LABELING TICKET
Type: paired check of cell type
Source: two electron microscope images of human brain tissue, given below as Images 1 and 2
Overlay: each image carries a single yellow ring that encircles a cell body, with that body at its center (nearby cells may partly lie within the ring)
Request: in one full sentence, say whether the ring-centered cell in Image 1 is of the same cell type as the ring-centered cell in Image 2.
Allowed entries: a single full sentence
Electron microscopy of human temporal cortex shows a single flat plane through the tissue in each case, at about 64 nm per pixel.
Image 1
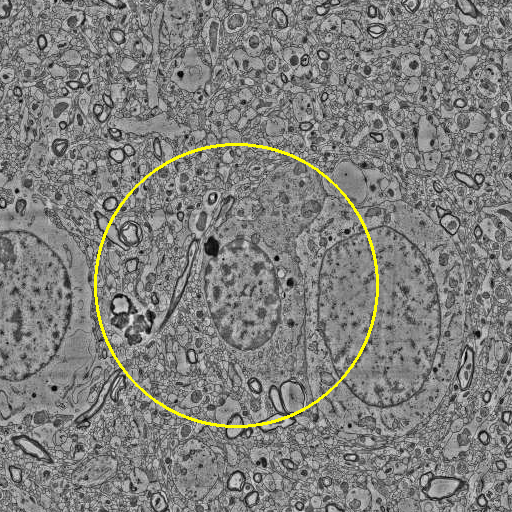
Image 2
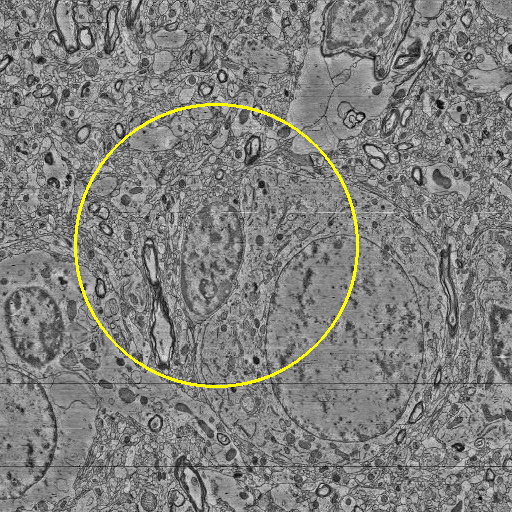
Yes, the cells centered in the rings of Image 1 and Image 2 share one type.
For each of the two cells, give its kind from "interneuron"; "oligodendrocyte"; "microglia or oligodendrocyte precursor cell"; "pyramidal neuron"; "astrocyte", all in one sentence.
The ring centre holds an oligodendrocyte in each of the two pictures.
